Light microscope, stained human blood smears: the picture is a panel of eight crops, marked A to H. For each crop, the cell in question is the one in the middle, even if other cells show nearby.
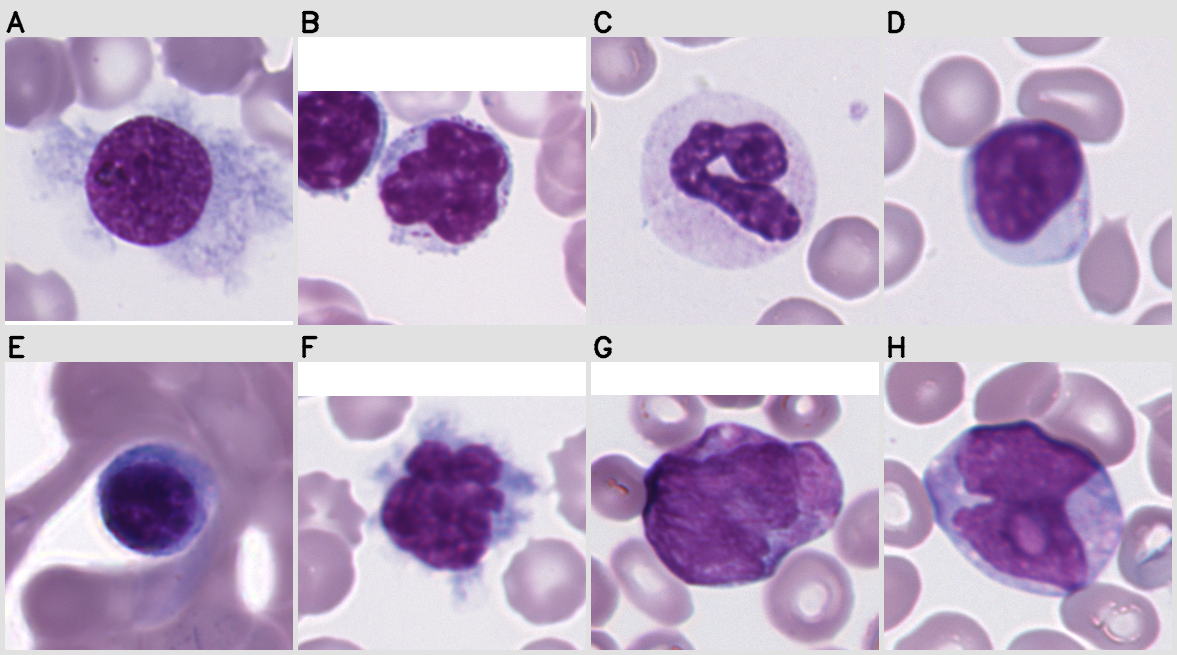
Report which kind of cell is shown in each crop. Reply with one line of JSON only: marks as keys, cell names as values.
{"A": "hairy cell", "B": "large granular lymphocyte", "C": "neutrophil", "D": "large granular lymphocyte", "E": "plasma cell", "F": "hairy cell", "G": "atypical promyelocyte", "H": "atypical promyelocyte"}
